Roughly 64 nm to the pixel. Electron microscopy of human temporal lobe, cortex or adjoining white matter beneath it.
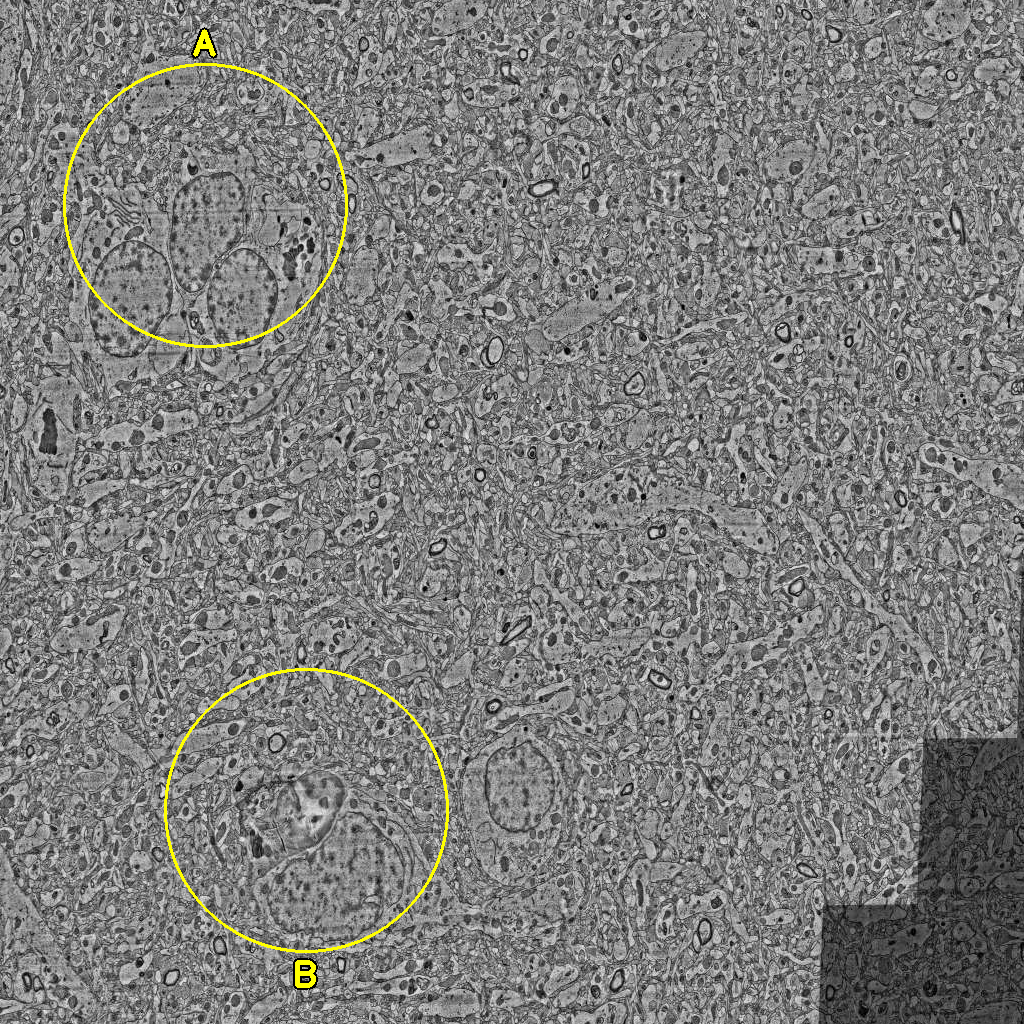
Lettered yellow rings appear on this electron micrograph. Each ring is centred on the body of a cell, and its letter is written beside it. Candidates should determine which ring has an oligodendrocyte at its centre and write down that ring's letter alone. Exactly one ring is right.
B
